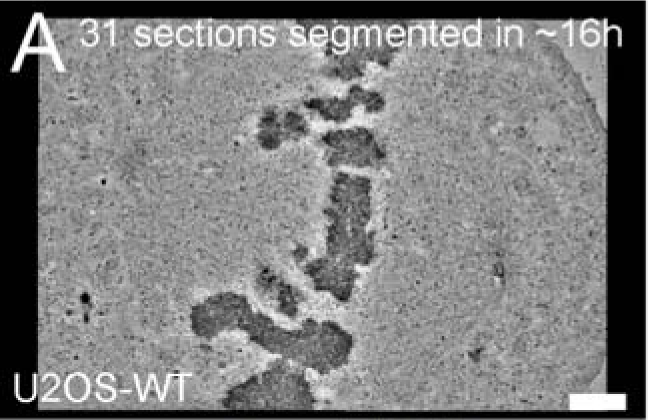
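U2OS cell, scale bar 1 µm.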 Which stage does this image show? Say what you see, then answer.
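Mitotic. Dark, compact, irregular chromatin masses lie free in the cytoplasm. No nuclear envelope surrounds the chromatin. The chromatin masses are lined up in a band across the cell.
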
